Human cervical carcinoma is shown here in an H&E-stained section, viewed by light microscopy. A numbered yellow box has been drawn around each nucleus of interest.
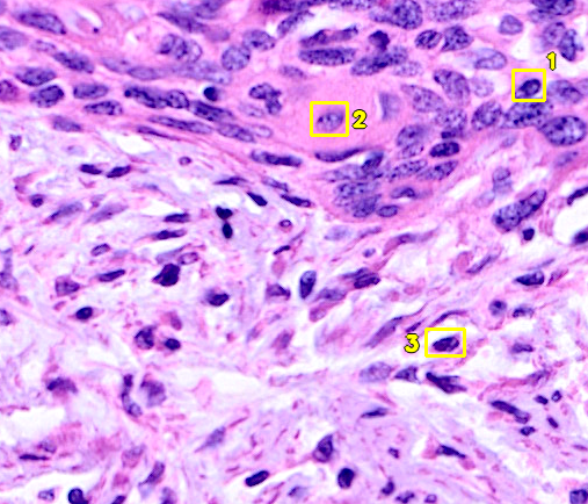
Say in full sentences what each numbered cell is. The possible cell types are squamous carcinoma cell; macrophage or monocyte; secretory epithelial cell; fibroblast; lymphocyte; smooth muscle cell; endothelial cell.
Cells 1 and 3 are lymphocytes. Cell 2 is a squamous carcinoma cell.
